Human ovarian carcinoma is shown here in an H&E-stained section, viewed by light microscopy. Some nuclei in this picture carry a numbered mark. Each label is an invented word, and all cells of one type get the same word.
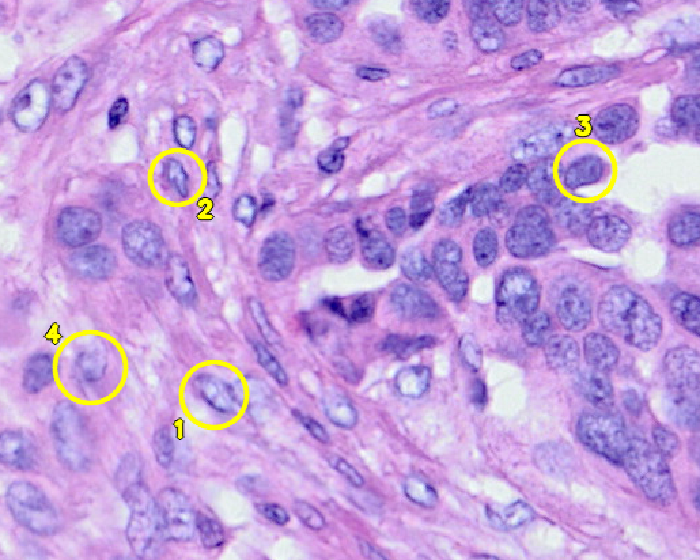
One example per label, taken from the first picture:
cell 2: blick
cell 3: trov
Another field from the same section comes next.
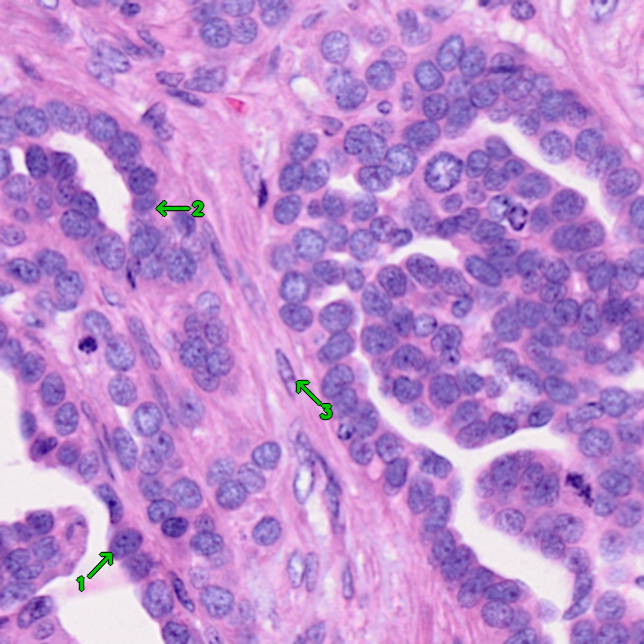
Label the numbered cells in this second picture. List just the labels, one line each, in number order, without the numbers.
trov
trov
blick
